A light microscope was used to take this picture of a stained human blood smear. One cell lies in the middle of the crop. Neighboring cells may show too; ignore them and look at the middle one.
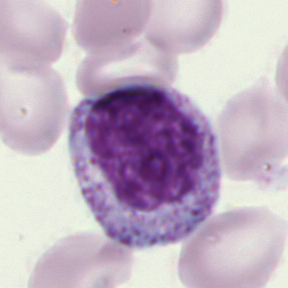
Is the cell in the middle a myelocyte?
yes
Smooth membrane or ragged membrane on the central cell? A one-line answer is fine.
Its surface contour is regular and smooth, without any protrusions.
